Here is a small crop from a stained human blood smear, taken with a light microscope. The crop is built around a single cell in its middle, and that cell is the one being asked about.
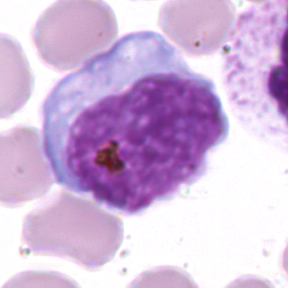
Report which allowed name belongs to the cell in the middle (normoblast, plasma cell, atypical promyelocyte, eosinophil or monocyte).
plasma cell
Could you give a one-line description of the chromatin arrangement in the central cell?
In this cell the chromatin is fine rather than coarsely clumped.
